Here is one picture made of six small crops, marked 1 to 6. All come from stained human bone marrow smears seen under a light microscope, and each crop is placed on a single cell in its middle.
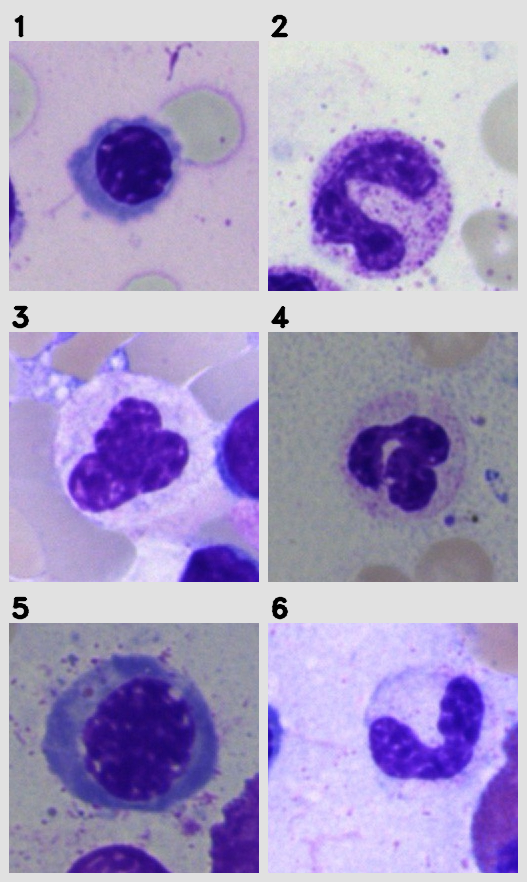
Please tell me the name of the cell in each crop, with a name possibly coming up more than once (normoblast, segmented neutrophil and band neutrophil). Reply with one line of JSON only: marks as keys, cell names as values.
{"1": "normoblast", "2": "segmented neutrophil", "3": "segmented neutrophil", "4": "segmented neutrophil", "5": "normoblast", "6": "band neutrophil"}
